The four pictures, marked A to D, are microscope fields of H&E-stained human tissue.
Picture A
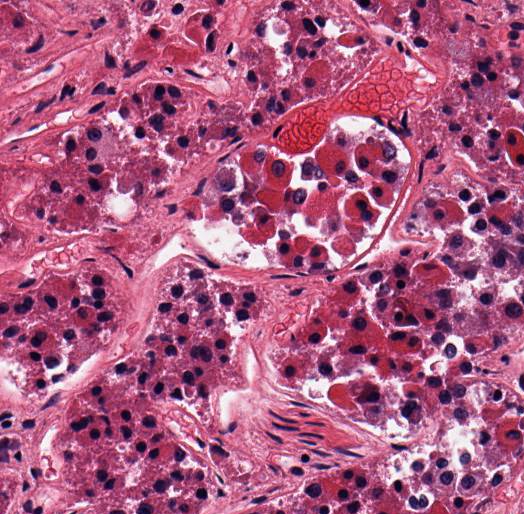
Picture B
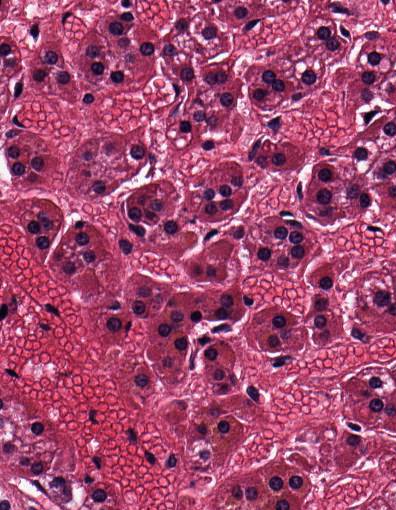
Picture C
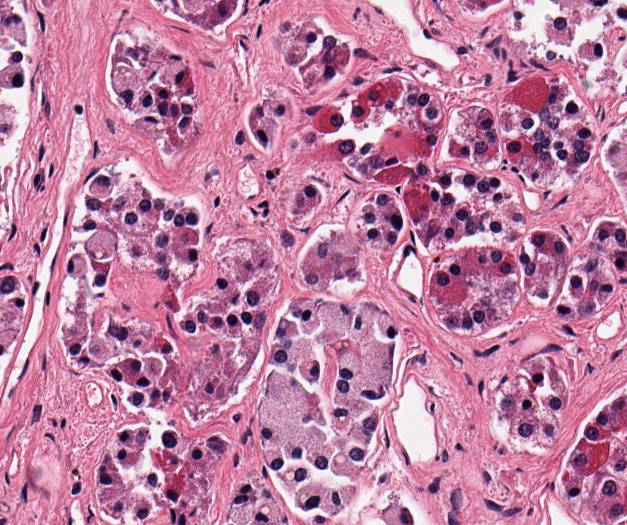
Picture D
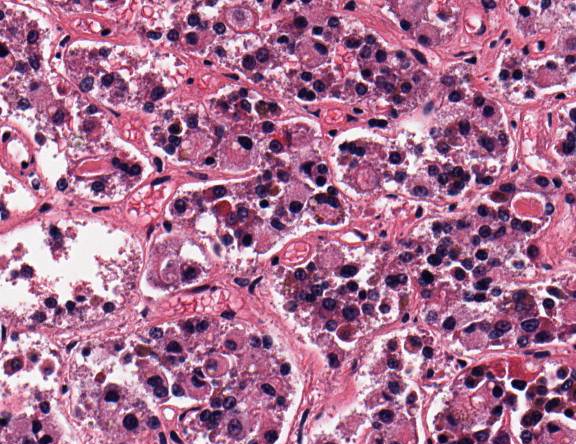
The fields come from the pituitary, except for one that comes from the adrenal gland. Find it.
B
